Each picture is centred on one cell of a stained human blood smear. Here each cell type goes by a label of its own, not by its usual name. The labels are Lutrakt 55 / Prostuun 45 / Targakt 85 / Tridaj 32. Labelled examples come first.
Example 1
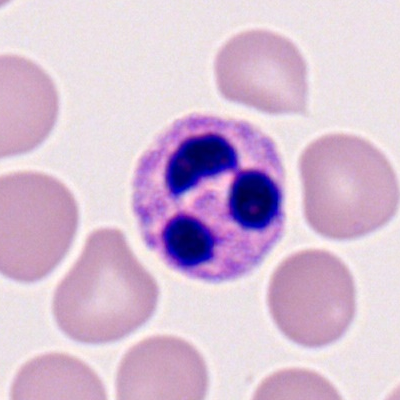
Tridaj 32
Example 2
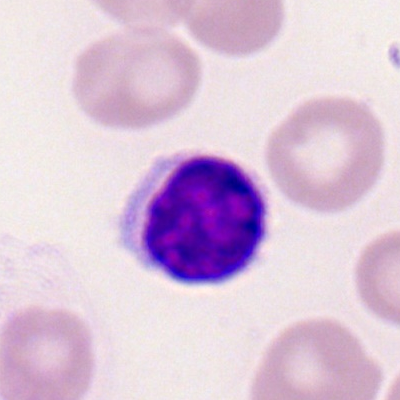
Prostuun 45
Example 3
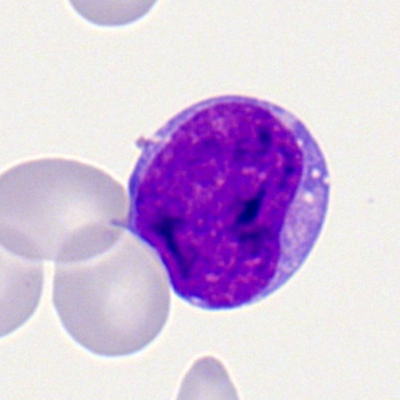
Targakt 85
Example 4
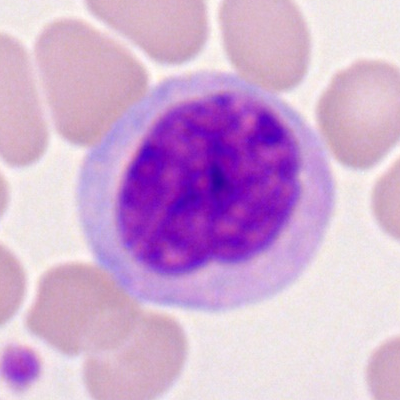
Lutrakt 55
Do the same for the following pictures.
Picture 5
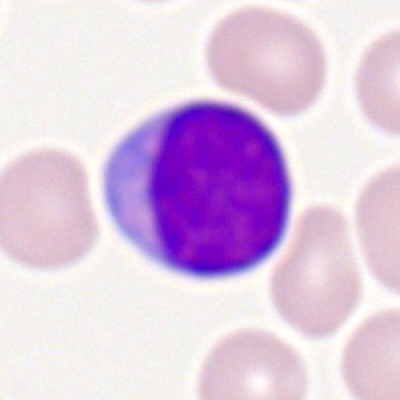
Targakt 85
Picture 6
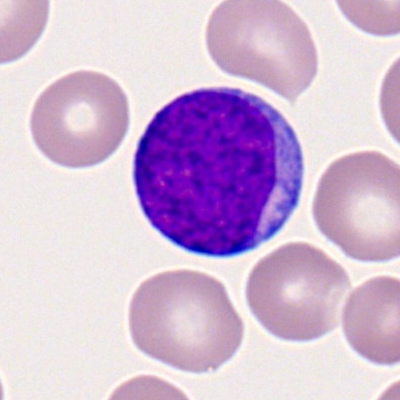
Targakt 85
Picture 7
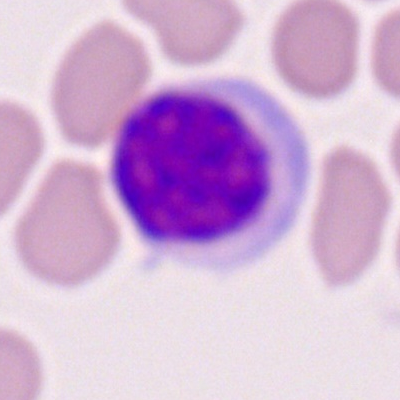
Prostuun 45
